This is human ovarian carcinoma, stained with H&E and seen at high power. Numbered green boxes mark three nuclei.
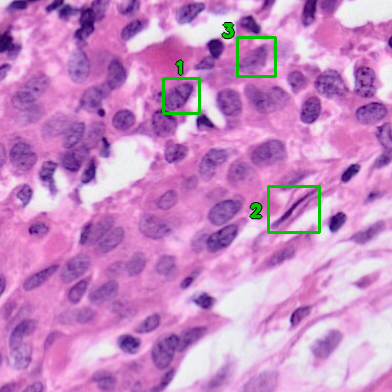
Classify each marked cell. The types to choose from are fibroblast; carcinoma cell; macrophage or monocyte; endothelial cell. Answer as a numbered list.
1. carcinoma cell
2. fibroblast
3. carcinoma cell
